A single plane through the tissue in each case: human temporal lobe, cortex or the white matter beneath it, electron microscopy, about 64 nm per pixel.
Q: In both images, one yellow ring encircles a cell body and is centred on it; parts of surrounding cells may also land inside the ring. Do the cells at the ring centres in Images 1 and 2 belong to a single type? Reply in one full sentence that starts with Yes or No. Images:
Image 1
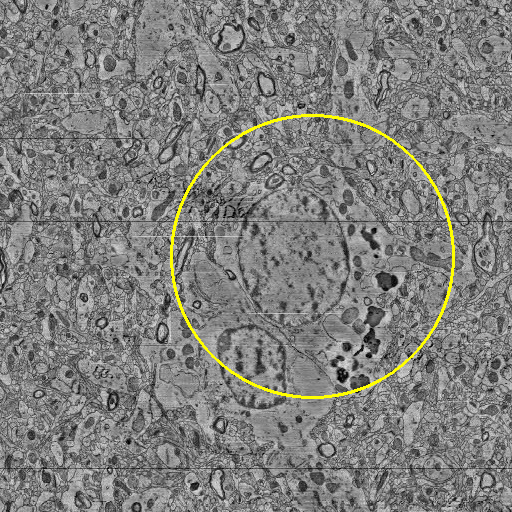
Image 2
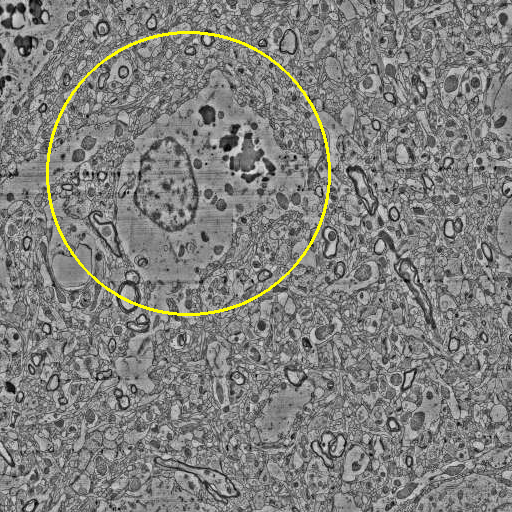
Yes, the cells at the ring centres in Images 1 and 2 are of a single type.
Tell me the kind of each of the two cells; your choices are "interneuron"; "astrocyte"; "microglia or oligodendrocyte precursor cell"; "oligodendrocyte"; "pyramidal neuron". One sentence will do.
Both cells are the same kind, each one being an astrocyte.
